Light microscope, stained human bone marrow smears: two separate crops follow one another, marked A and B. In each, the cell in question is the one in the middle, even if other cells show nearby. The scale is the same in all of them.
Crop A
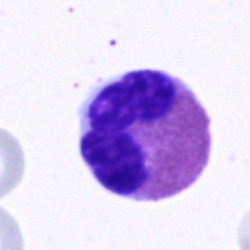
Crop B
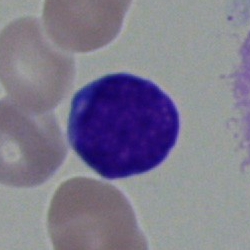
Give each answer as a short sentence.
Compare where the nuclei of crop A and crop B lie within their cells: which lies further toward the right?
Seen within its cell, the nucleus in crop B lies further toward the right.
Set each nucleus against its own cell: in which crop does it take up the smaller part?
In crop A the nucleus takes up the smaller part of its cell.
